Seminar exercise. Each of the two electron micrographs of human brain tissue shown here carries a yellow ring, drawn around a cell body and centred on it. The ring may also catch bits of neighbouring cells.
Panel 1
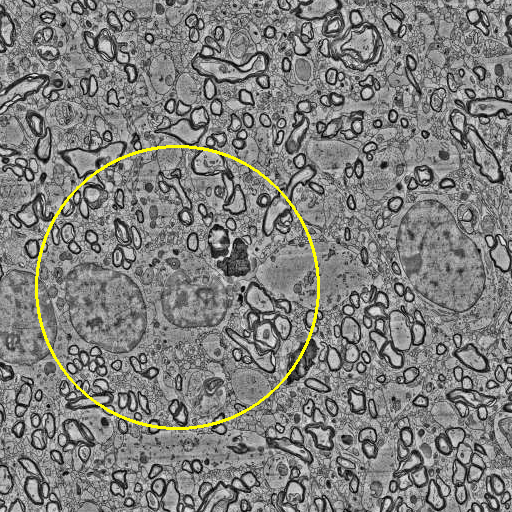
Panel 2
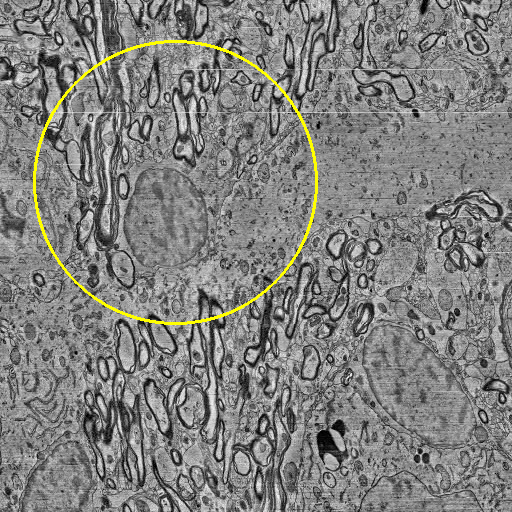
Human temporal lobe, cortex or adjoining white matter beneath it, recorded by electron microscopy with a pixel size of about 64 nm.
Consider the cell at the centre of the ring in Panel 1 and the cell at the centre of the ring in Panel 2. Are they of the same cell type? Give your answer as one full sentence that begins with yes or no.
Yes, both cells are of the same type.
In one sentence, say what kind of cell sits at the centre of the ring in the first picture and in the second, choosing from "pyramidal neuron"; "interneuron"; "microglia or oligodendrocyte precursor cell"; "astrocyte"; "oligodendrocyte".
In the first picture and in the second, the ring is centred on an oligodendrocyte.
